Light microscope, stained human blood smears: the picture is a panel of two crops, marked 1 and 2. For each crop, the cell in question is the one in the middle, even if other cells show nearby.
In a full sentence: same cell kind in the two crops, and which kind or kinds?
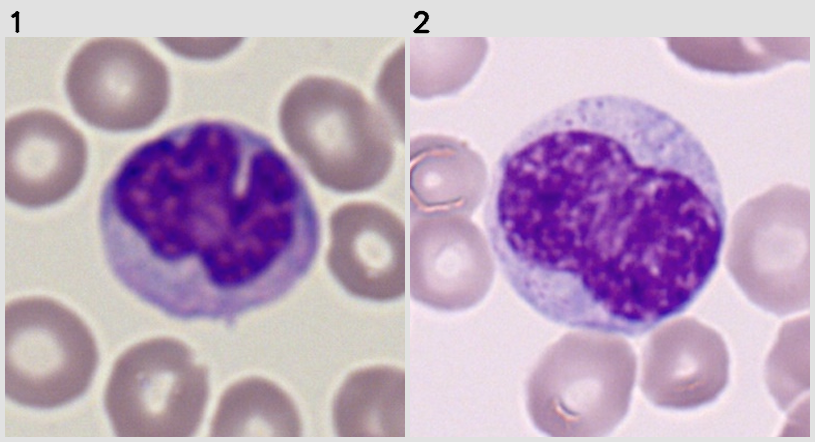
Yes, the cells at the centre of both crops are monocytes.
